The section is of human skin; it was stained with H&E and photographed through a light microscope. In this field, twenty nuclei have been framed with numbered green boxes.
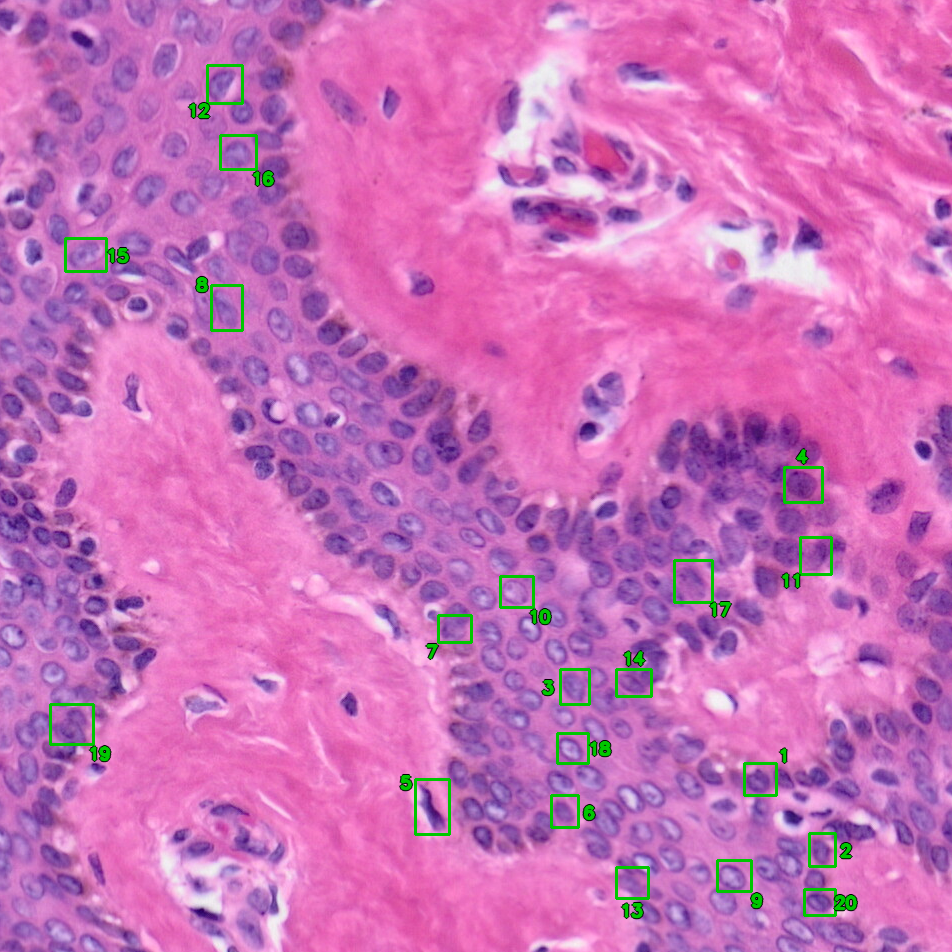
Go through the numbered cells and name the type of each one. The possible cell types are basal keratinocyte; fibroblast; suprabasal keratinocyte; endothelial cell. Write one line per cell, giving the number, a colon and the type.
1: basal keratinocyte
2: basal keratinocyte
3: suprabasal keratinocyte
4: basal keratinocyte
5: fibroblast
6: basal keratinocyte
7: basal keratinocyte
8: suprabasal keratinocyte
9: suprabasal keratinocyte
10: suprabasal keratinocyte
11: basal keratinocyte
12: suprabasal keratinocyte
13: basal keratinocyte
14: basal keratinocyte
15: suprabasal keratinocyte
16: suprabasal keratinocyte
17: basal keratinocyte
18: suprabasal keratinocyte
19: basal keratinocyte
20: basal keratinocyte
